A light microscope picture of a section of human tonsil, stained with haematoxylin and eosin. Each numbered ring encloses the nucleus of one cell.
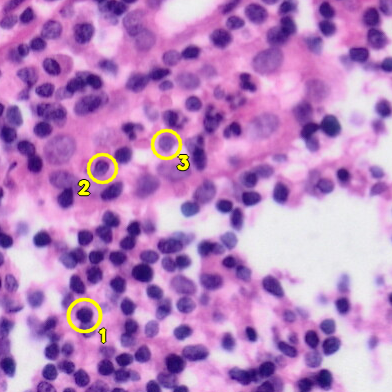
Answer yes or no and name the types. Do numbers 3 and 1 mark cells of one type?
No, cell 3 is an endothelial cell; cell 1 is a small lymphocyte.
